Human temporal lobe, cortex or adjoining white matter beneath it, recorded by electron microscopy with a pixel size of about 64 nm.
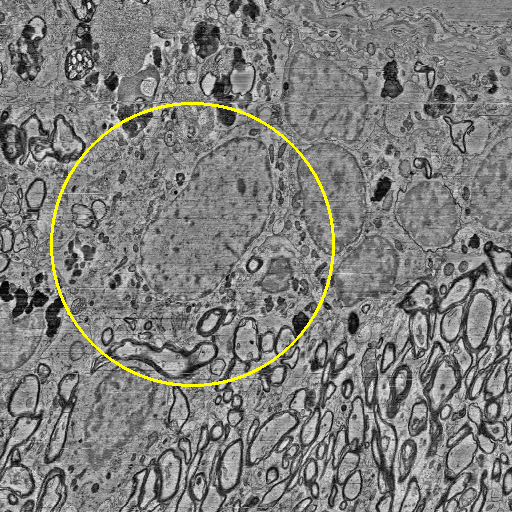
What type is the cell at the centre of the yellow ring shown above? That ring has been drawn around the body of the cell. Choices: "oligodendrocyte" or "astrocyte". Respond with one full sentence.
My answer is that an astrocyte lies at the centre of the yellow ring above.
